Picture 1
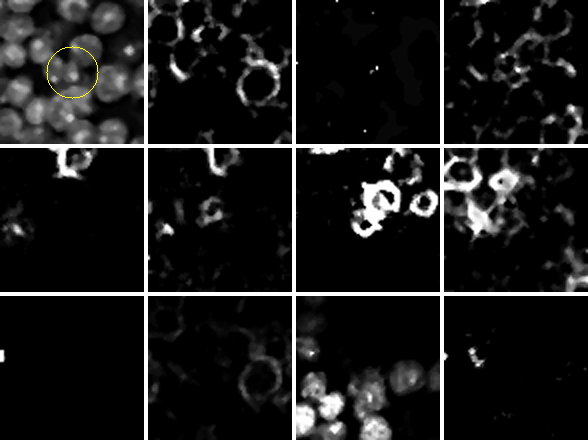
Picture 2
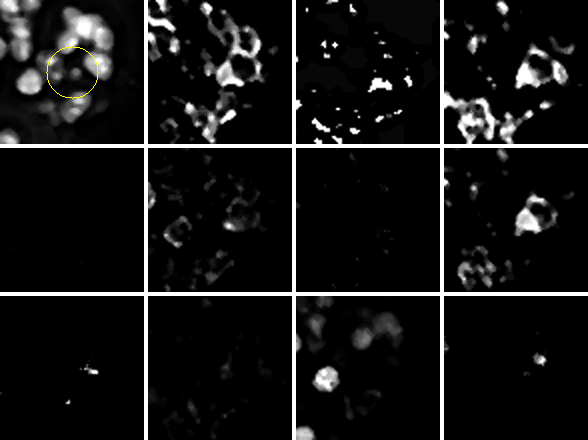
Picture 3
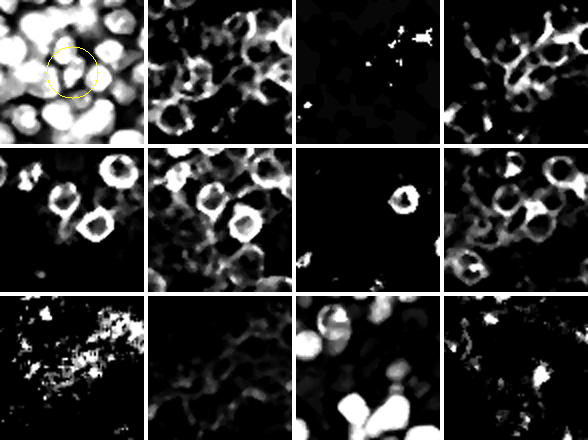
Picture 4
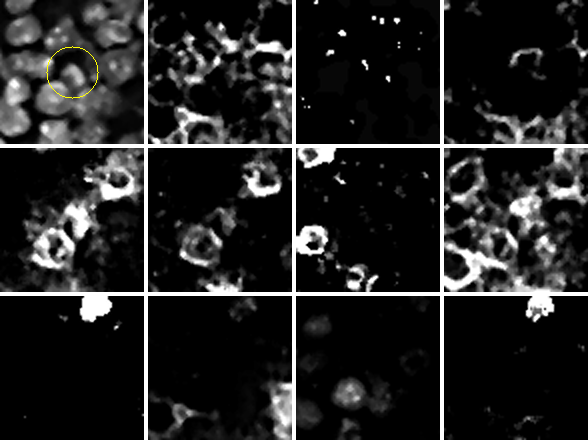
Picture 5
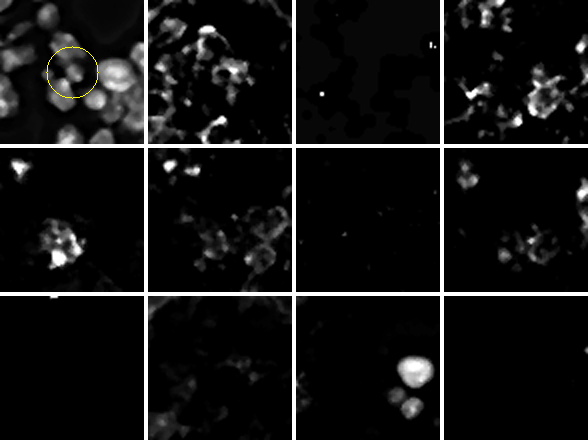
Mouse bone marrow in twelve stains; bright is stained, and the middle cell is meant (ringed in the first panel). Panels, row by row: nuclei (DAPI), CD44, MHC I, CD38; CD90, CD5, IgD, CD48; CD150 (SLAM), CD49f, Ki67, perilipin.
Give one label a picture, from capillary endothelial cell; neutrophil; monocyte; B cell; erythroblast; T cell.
Picture 1: B cell
Picture 2: monocyte
Picture 3: capillary endothelial cell
Picture 4: T cell
Picture 5: erythroblast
